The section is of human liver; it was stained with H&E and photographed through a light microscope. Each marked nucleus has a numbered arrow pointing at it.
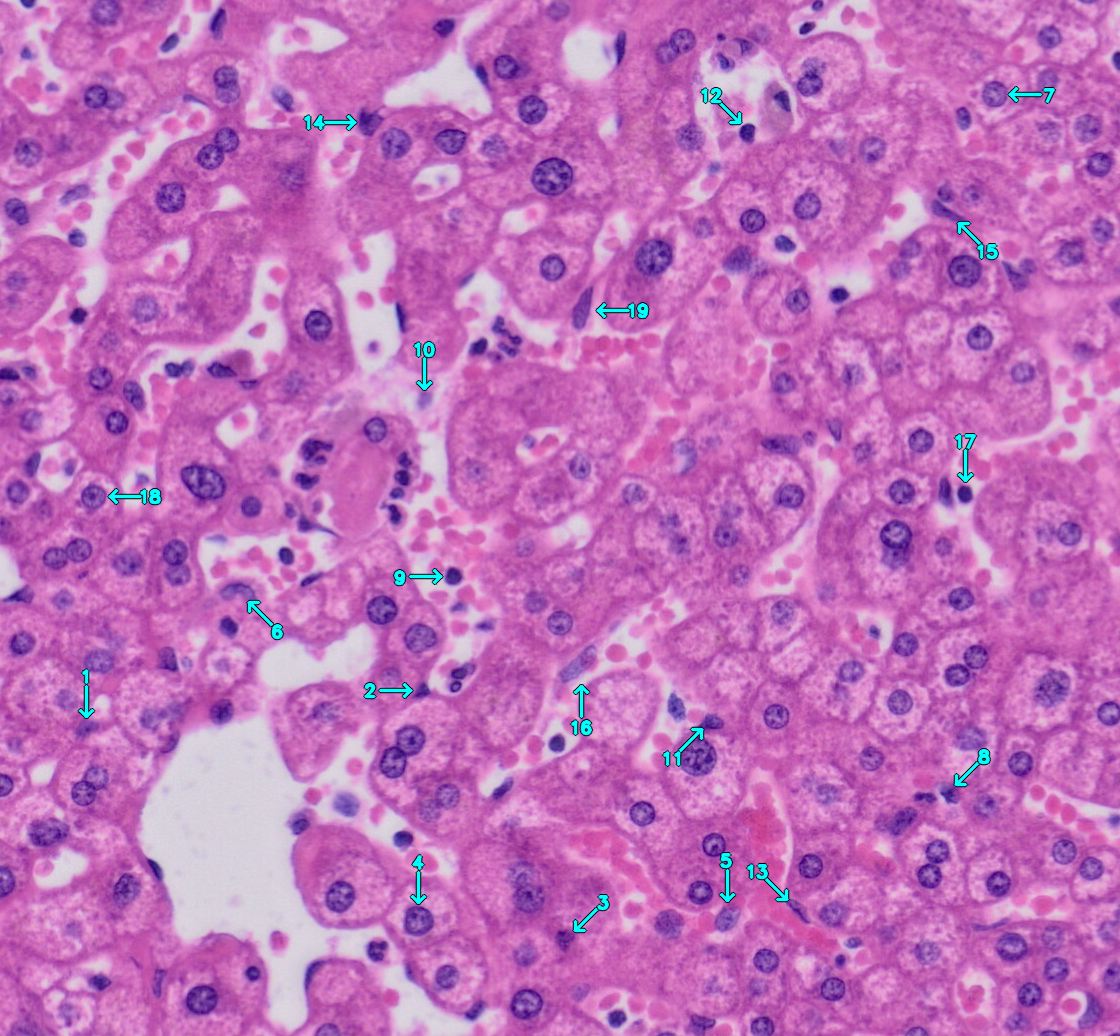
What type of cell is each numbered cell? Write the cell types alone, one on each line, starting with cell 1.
endothelial cell
fibroblast or stellate cell
fibroblast or stellate cell
hepatocyte
Kupffer cell
Kupffer cell
hepatocyte
endothelial cell
lymphocyte
Kupffer cell
fibroblast or stellate cell
lymphocyte
endothelial cell
fibroblast or stellate cell
Kupffer cell
Kupffer cell
lymphocyte
hepatocyte
Kupffer cell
